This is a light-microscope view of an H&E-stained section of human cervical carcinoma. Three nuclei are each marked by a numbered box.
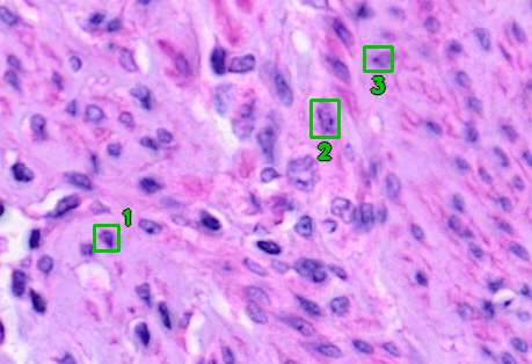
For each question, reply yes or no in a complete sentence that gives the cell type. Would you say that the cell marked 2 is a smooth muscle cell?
Yes, the cell that bears the number 2 is a smooth muscle cell.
